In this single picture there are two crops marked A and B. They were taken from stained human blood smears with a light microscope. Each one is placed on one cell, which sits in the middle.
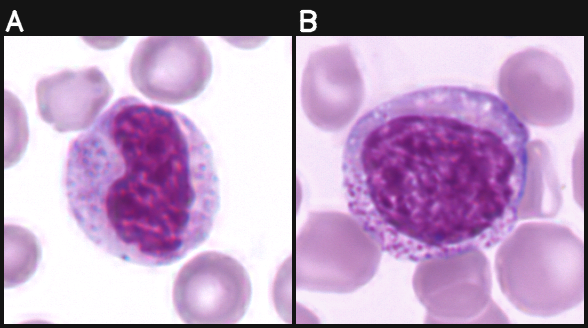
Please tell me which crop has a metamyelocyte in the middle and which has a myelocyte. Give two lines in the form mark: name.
A: metamyelocyte
B: myelocyte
